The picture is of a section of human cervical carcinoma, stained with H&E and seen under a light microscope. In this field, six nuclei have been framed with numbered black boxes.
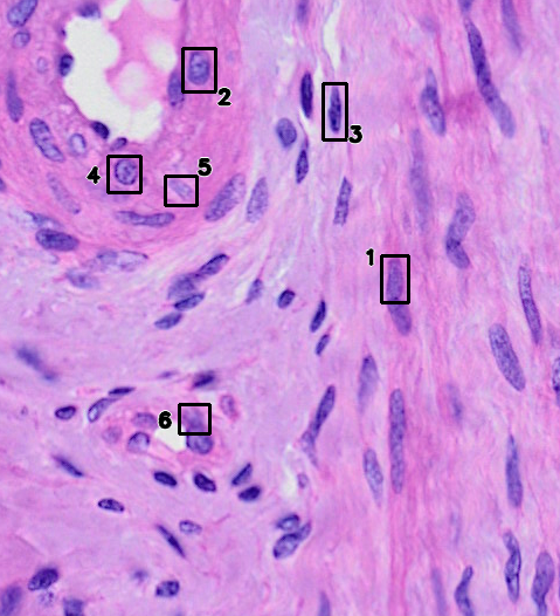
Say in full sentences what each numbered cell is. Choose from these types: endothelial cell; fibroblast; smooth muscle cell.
Cells 1, 2, 4 and 5 are smooth muscle cells. Cell 3 is a fibroblast. Cell 6 is an endothelial cell.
